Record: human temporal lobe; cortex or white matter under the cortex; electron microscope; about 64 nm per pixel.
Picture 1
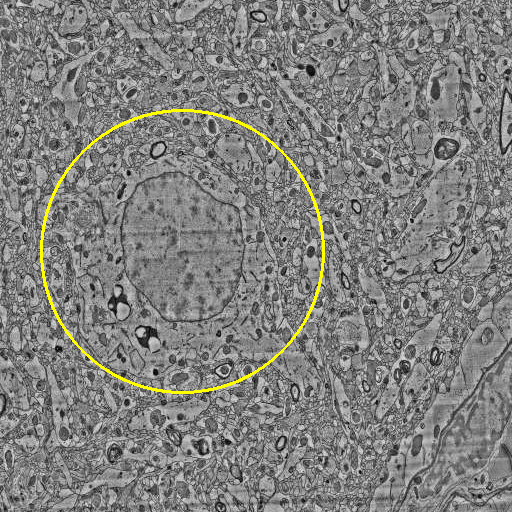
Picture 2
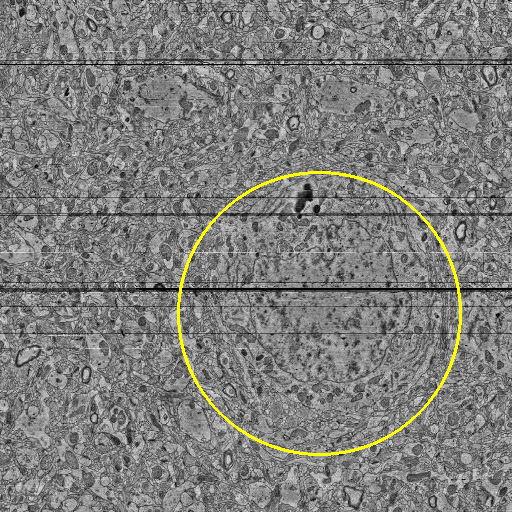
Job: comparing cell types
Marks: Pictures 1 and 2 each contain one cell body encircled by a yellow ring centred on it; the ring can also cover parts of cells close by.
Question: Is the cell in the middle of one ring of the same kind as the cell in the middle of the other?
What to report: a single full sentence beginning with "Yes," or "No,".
No, the cell at the ring centre in Picture 1 and its partner in Picture 2 are of two kinds.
